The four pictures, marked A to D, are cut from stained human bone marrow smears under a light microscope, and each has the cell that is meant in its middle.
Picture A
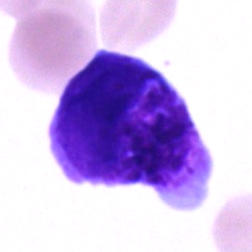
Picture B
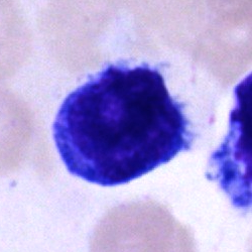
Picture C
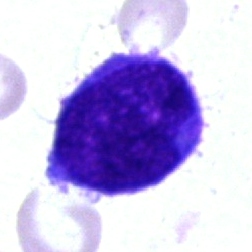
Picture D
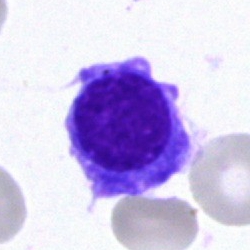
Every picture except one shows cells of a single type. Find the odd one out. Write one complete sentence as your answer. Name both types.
Unlike the rest, which show blasts, picture D shows a lymphocyte.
